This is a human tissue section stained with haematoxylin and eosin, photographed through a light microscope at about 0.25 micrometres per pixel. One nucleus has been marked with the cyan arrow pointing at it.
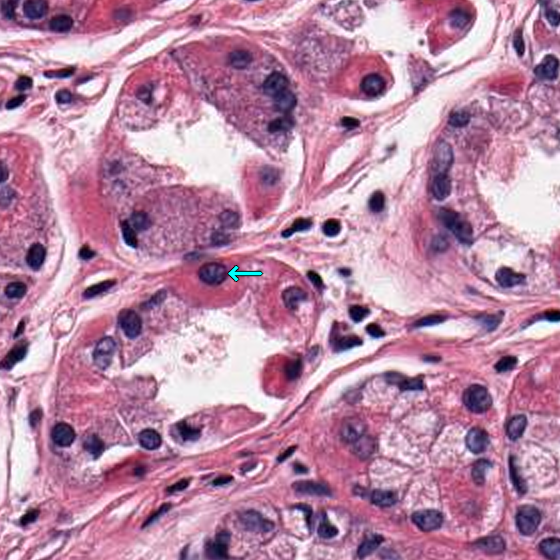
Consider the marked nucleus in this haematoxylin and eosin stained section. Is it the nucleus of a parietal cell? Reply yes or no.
yes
